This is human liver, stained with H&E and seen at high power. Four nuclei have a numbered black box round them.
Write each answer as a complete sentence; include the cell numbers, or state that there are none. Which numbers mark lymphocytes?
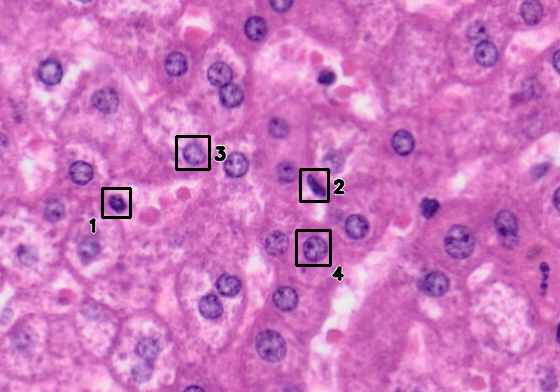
Only at number 1 is there a lymphocyte among the marked cells.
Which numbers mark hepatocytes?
The cells referred to by numbers 3 and 4 are hepatocytes.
